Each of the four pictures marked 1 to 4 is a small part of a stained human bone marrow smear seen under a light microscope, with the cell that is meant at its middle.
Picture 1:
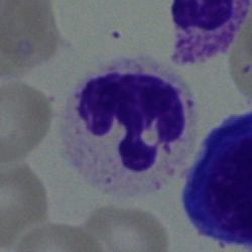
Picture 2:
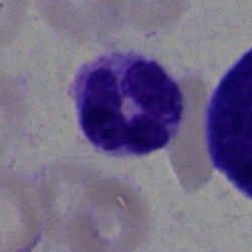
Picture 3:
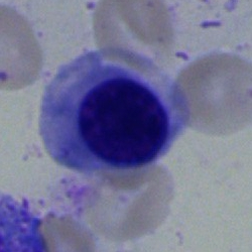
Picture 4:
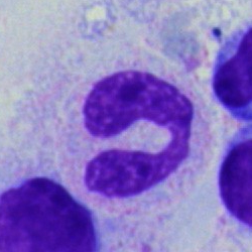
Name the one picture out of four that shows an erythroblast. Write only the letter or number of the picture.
3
